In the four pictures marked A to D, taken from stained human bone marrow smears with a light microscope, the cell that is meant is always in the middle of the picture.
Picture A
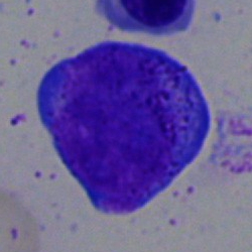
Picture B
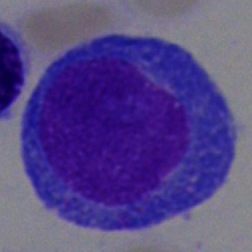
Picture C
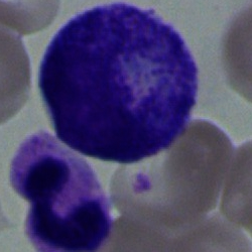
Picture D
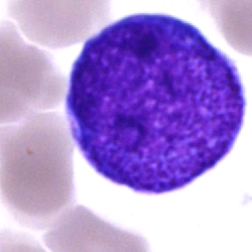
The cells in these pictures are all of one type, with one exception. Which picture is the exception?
B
